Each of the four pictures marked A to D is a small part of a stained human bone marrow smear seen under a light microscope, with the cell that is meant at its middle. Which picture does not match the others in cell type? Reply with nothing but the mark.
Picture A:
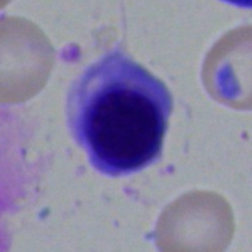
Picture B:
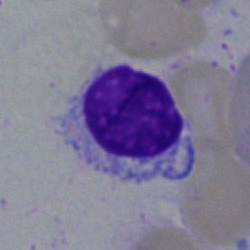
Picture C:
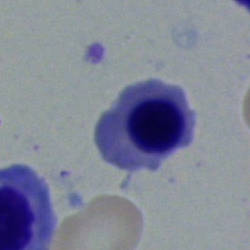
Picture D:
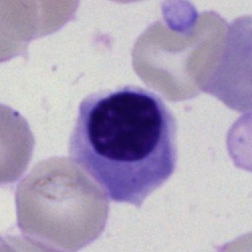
B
